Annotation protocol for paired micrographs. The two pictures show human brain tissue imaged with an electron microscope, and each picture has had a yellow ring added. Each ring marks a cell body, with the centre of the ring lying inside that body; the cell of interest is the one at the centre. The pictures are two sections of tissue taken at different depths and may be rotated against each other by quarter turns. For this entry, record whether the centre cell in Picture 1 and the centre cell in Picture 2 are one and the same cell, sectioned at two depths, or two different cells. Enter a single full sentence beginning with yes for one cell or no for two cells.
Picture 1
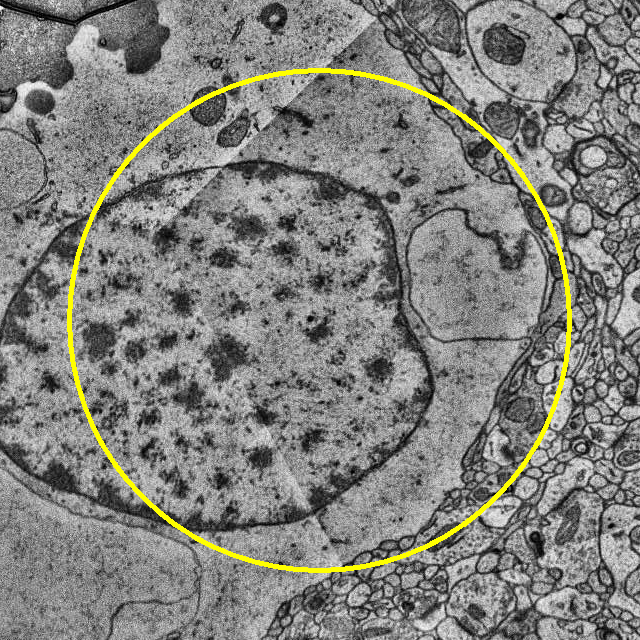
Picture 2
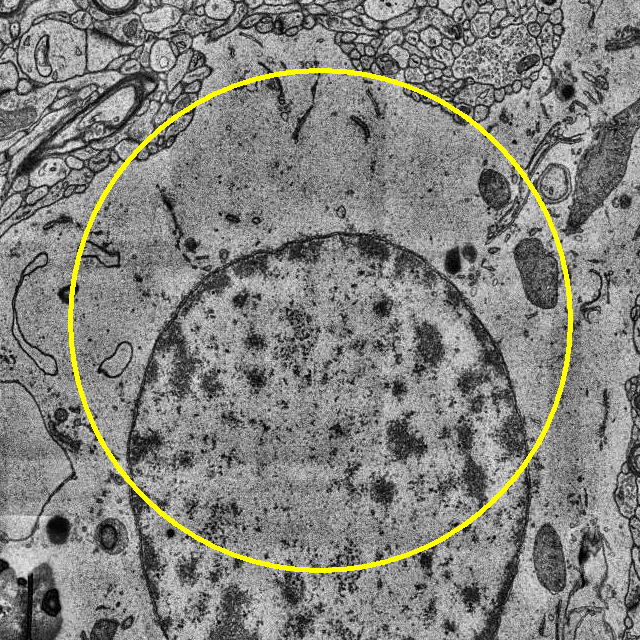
Yes, the cell inside the first ring is the cell inside the second.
